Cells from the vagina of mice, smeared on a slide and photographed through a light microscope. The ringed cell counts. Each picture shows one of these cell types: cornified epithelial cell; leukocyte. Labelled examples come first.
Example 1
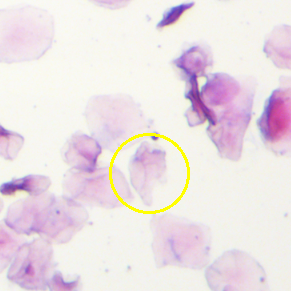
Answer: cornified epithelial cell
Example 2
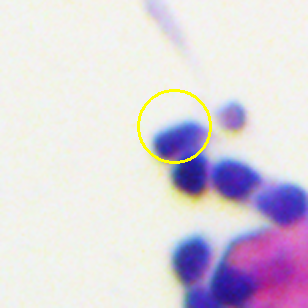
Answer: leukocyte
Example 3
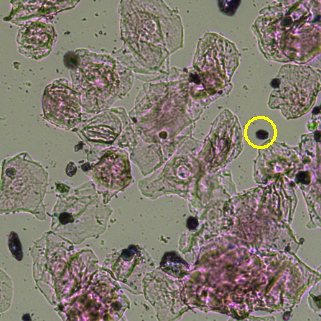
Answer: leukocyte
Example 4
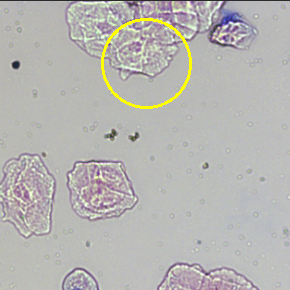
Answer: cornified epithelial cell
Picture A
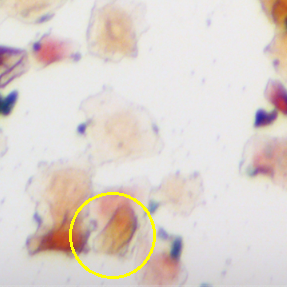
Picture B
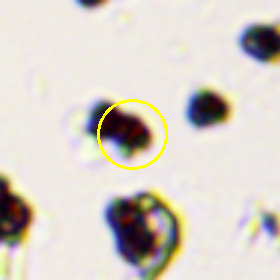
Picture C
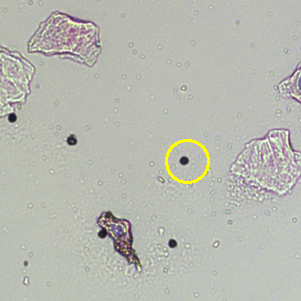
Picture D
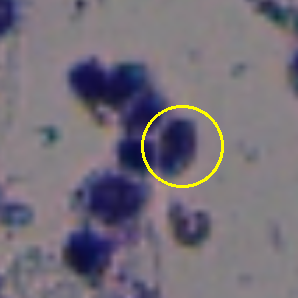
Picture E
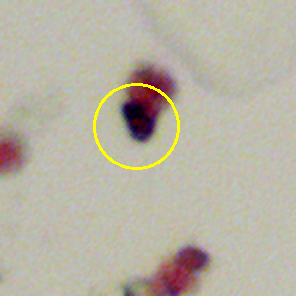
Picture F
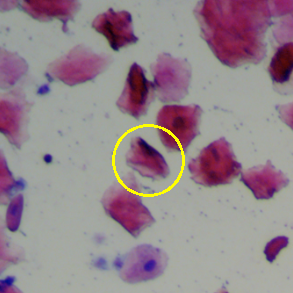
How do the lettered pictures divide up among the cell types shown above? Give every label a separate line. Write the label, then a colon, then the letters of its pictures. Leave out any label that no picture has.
cornified epithelial cell: A, F
leukocyte: B, C, D, E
